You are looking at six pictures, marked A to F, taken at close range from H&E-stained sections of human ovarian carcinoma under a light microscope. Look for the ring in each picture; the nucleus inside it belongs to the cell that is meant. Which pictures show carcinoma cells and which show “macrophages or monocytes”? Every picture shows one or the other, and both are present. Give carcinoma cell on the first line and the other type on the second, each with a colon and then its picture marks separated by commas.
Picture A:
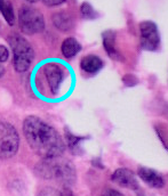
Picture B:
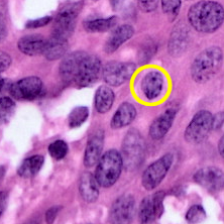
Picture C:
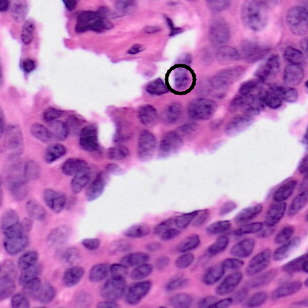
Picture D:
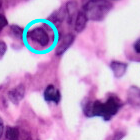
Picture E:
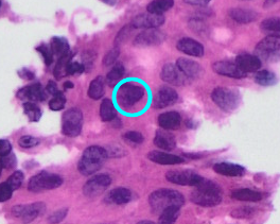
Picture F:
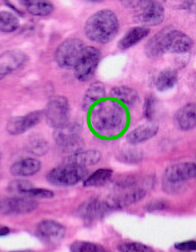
carcinoma cell: A, D, E, F
macrophage or monocyte: B, C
